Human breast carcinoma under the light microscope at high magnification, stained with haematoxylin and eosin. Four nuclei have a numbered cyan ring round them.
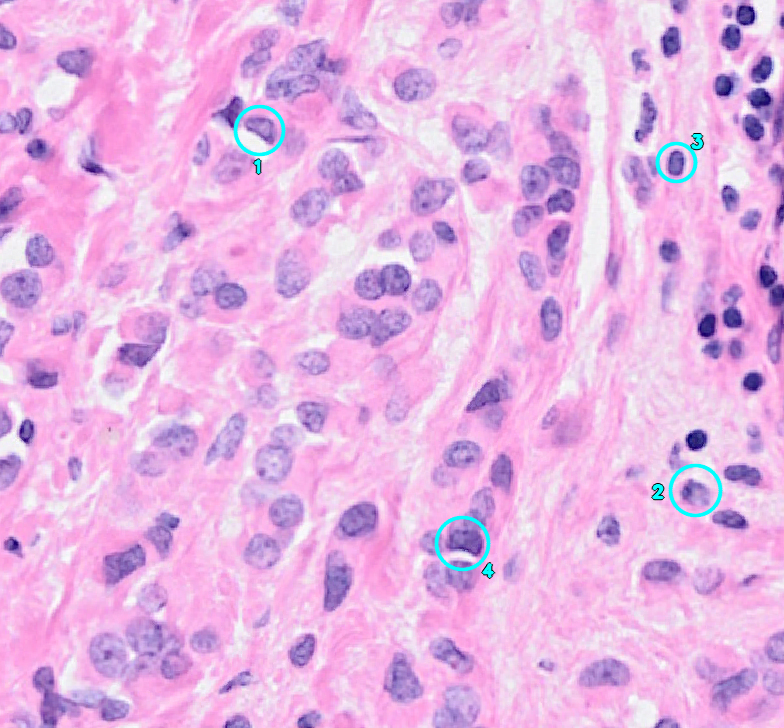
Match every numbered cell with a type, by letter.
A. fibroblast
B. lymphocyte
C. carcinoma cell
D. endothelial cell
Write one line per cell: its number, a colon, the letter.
1: C
2: B
3: B
4: C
